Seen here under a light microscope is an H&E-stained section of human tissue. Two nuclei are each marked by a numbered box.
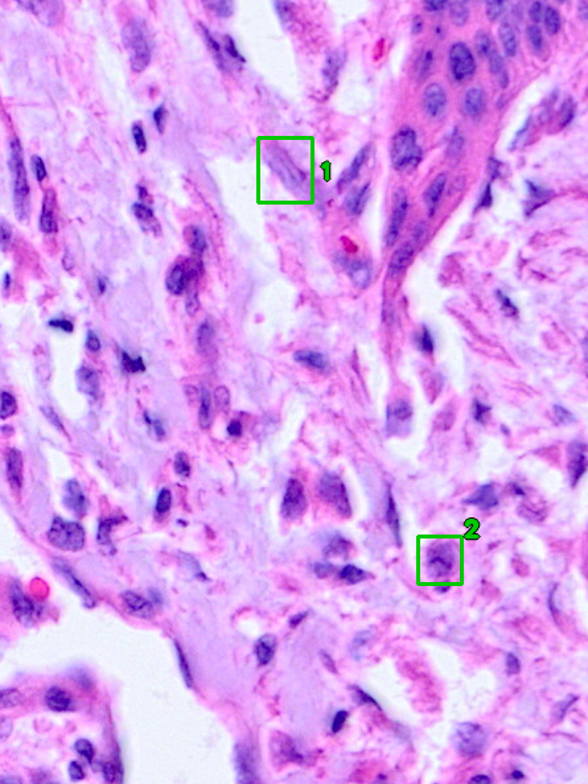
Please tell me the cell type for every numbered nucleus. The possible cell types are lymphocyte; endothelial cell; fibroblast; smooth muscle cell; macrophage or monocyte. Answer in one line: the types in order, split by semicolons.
fibroblast; macrophage or monocyte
